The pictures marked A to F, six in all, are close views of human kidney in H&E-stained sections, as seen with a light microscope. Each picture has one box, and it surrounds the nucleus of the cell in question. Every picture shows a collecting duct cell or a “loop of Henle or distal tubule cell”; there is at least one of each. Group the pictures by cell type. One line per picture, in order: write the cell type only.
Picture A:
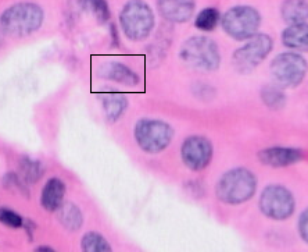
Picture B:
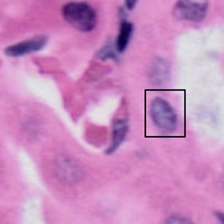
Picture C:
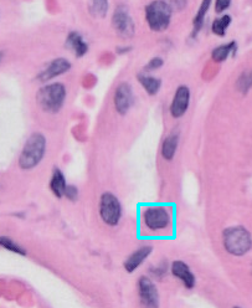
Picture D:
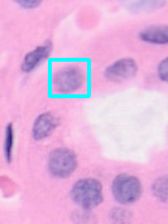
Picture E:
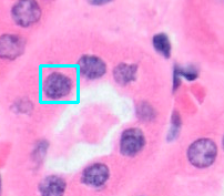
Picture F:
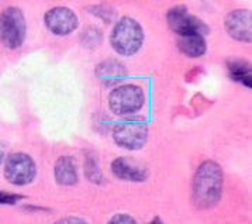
collecting duct cell
loop of Henle or distal tubule cell
collecting duct cell
collecting duct cell
loop of Henle or distal tubule cell
collecting duct cell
